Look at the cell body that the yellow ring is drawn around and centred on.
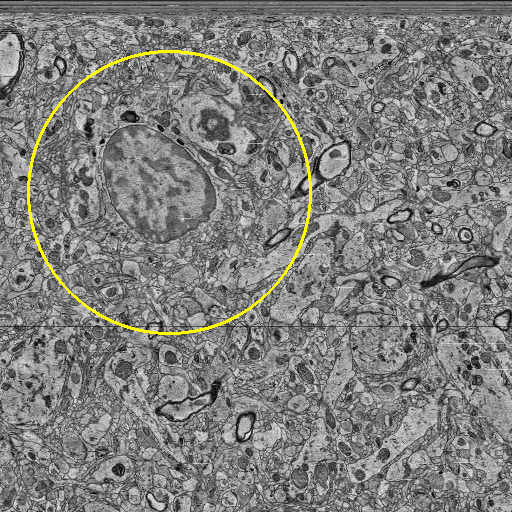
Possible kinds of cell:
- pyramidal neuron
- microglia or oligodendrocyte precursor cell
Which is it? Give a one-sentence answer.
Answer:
The centred cell body is that of a microglial cell or oligodendrocyte precursor cell.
